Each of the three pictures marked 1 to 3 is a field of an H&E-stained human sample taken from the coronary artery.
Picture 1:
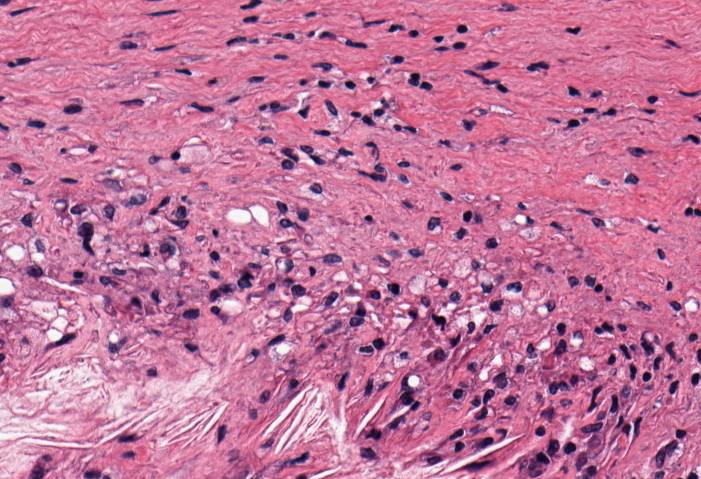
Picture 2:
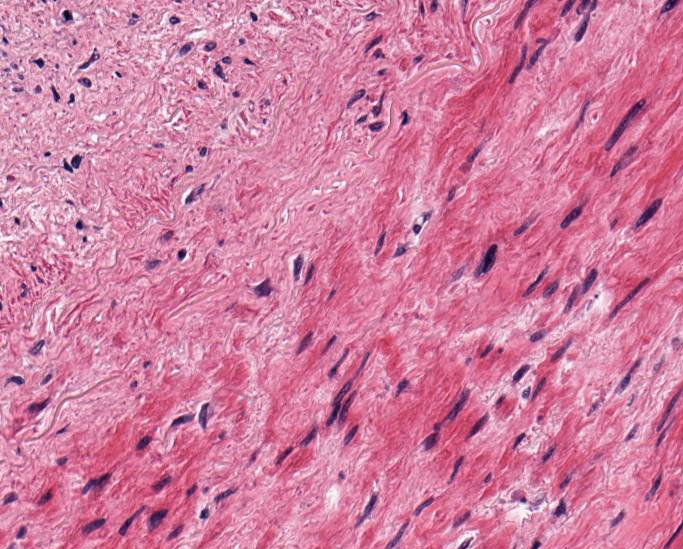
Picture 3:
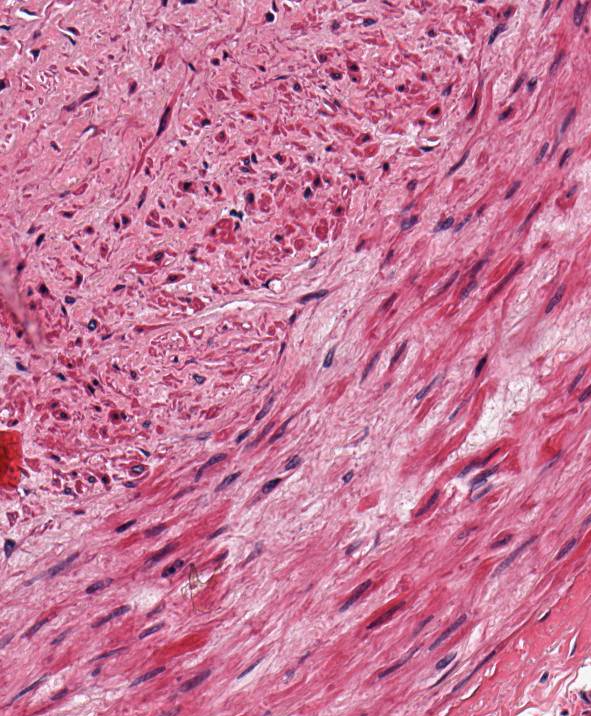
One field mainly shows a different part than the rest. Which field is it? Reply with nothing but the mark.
1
